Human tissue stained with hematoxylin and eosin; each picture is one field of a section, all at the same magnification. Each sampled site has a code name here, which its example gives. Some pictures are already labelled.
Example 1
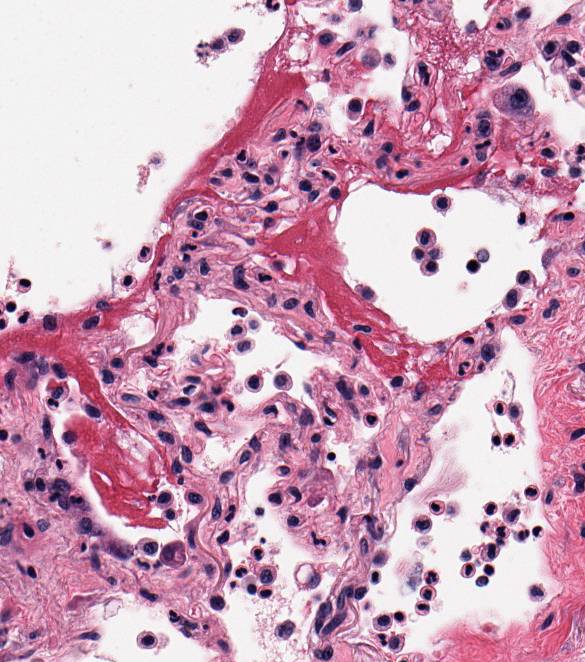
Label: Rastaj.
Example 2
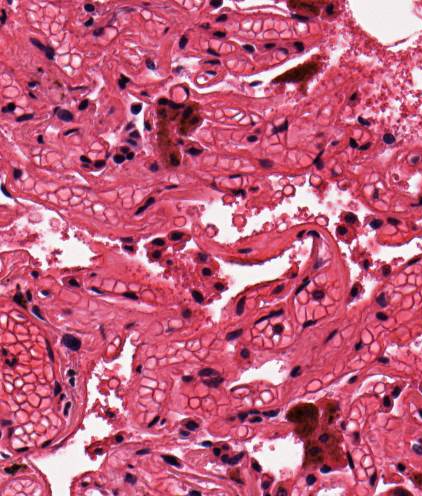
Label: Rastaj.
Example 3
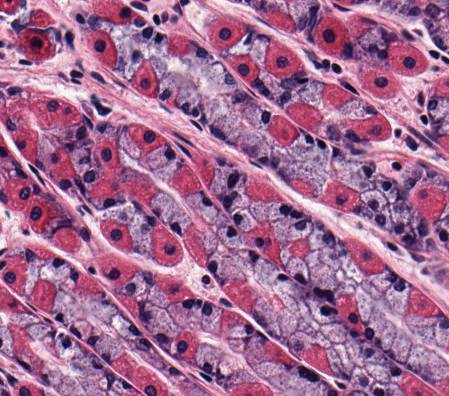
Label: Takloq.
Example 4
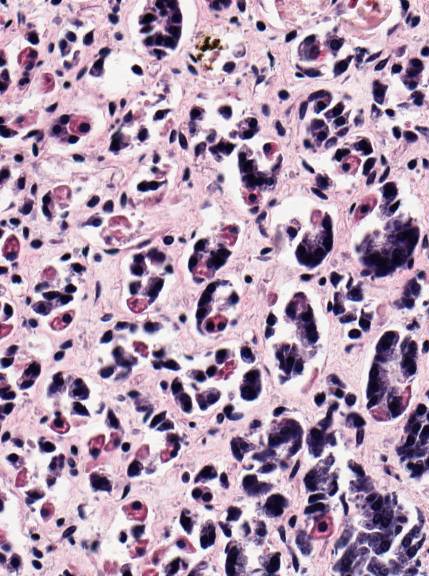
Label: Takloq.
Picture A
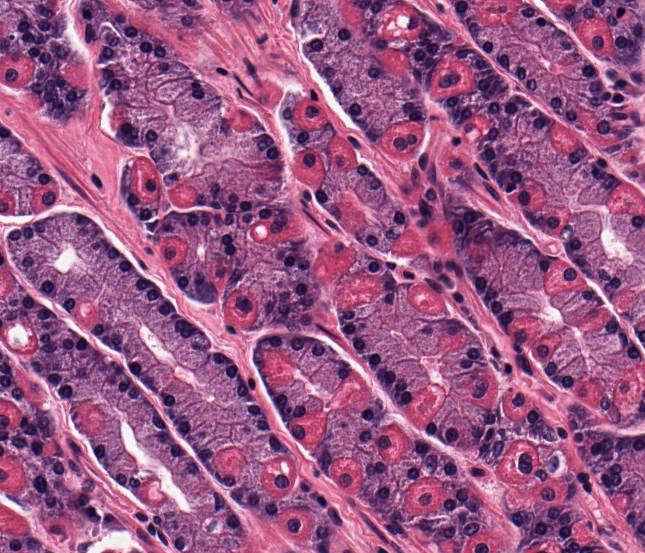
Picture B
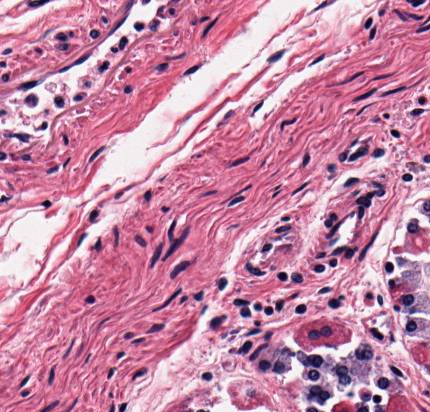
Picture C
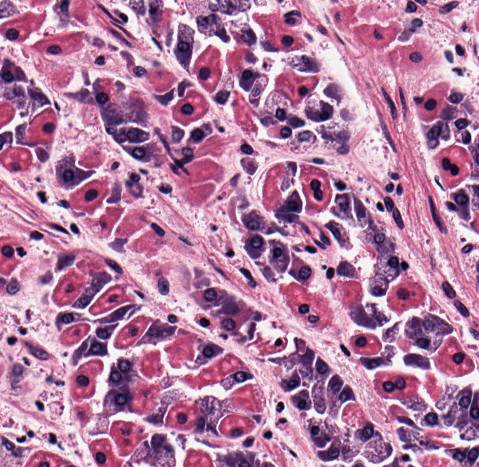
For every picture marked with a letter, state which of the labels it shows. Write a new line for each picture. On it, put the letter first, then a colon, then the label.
A: Takloq.
B: Takloq.
C: Takloq.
